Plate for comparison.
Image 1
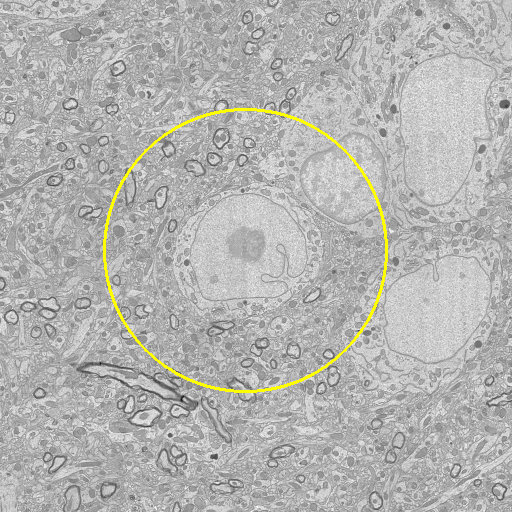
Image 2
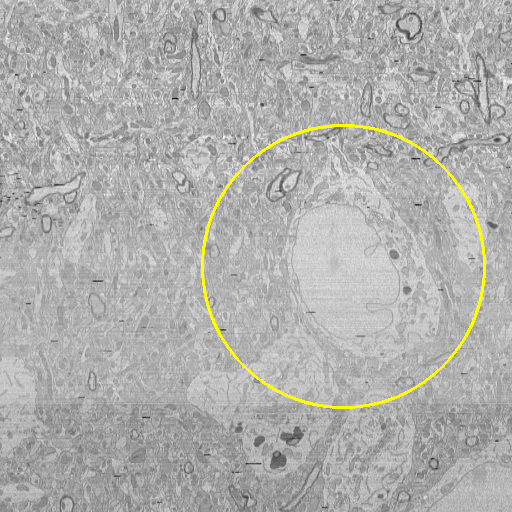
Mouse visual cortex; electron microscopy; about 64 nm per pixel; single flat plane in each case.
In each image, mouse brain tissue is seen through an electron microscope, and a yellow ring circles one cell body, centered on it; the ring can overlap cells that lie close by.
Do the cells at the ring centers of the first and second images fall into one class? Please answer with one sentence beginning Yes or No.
Yes, the first and second images show a single class of cell at the ring centers.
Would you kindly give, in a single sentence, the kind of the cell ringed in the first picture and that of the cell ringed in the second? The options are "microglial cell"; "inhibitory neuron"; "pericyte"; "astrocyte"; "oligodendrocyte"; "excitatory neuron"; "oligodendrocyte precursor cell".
The cell at the ring centre is an inhibitory neuron in both pictures.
